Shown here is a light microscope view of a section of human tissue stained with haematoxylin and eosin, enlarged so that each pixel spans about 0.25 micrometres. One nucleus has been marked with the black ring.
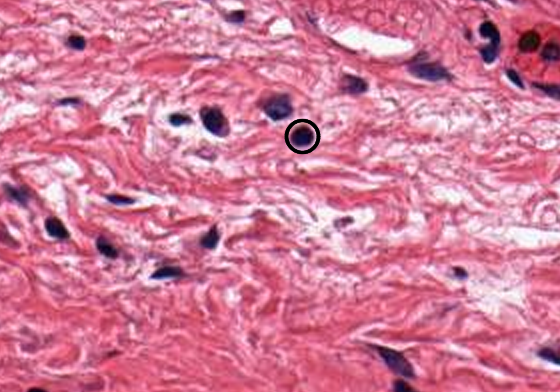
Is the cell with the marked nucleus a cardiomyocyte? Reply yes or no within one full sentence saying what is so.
No, it is a supporting cell whose nucleus is marked, not a cardiomyocyte.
